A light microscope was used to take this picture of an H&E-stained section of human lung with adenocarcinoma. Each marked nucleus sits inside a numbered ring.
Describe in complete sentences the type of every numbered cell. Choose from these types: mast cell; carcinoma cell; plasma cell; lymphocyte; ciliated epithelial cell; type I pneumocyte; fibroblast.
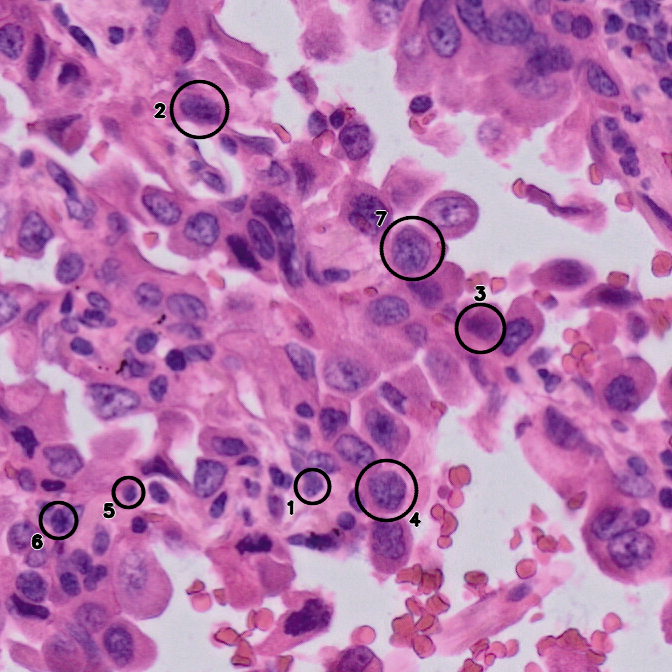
Cells 1, 5 and 6 are lymphocytes. Cells 2, 3, 4 and 7 are carcinoma cells.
